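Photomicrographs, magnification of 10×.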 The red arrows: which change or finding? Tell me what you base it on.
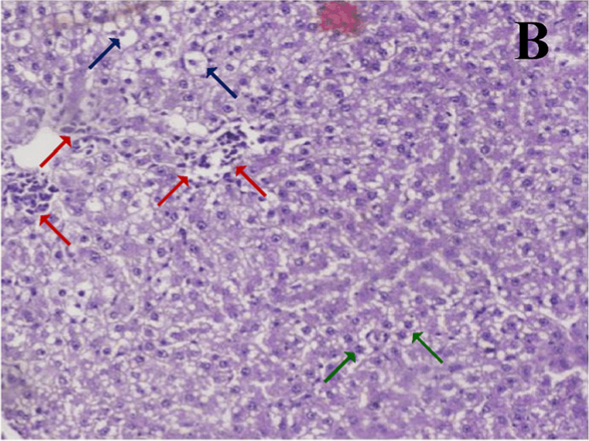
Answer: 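Lymphocyte infiltration. Clusters of small, densely dark-purple round nuclei lie at the arrow tips. The clusters lie among the liver cells near the upper left, one beside an empty vessel-like space.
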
